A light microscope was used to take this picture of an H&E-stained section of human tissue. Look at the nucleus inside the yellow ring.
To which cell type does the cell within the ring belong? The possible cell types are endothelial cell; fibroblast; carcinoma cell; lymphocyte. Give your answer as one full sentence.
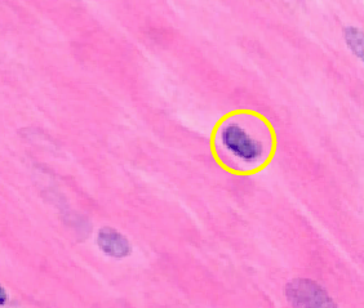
In short, the cell within the ring on this section is a lymphocyte.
